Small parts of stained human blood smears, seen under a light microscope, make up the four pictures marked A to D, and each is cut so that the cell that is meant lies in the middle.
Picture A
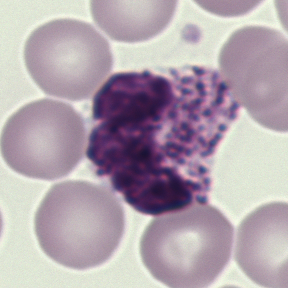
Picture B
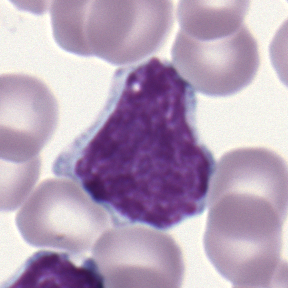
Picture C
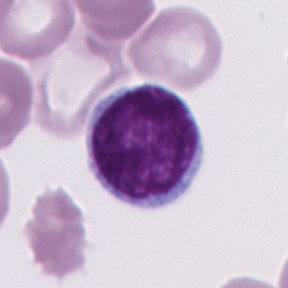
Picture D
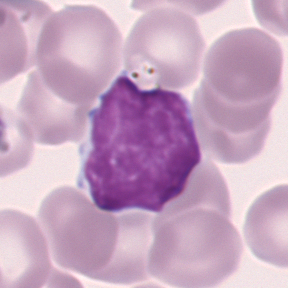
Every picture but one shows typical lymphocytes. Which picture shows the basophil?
A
